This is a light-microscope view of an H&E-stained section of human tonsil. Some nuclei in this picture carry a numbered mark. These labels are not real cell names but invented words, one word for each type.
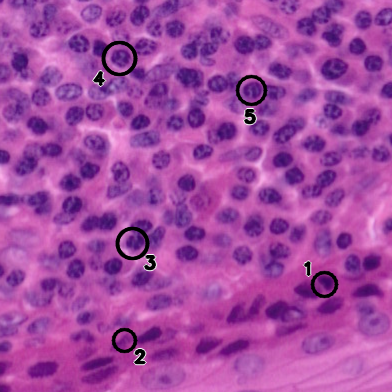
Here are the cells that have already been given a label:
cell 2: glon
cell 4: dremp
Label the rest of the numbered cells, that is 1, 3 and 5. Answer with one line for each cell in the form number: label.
1: glon
3: dremp
5: dremp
